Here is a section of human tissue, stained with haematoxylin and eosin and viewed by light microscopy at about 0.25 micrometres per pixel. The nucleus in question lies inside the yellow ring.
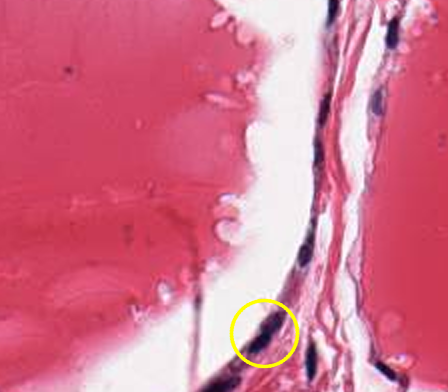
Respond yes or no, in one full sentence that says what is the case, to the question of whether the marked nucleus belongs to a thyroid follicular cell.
Yes, the marked nucleus belongs, in this section, to a thyroid follicular cell.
